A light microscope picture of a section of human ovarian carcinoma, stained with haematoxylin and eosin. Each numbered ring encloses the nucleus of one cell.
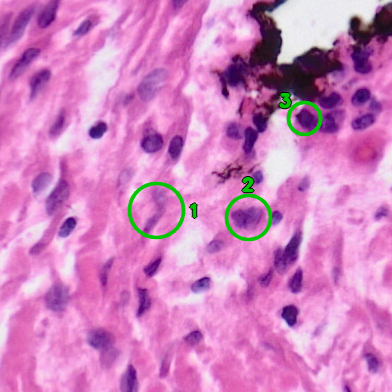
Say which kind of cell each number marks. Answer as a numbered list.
1. fibroblast
2. fibroblast
3. carcinoma cell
